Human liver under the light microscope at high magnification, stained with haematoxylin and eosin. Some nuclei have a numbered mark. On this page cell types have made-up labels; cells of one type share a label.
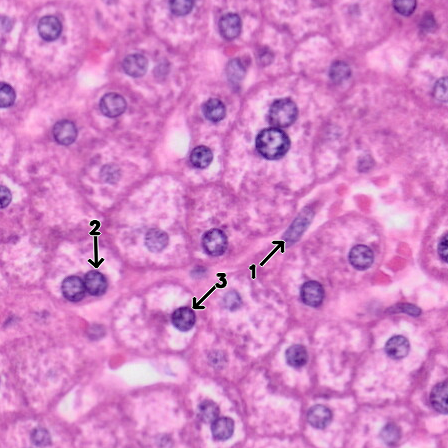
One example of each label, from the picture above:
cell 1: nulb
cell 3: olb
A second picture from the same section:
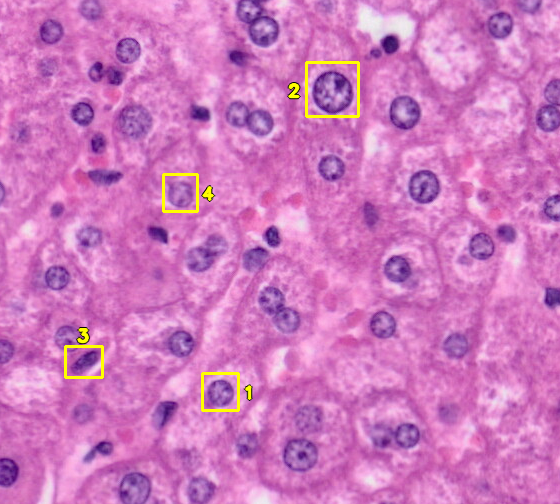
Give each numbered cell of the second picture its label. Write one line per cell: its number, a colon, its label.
1: olb
2: olb
3: nulb
4: olb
